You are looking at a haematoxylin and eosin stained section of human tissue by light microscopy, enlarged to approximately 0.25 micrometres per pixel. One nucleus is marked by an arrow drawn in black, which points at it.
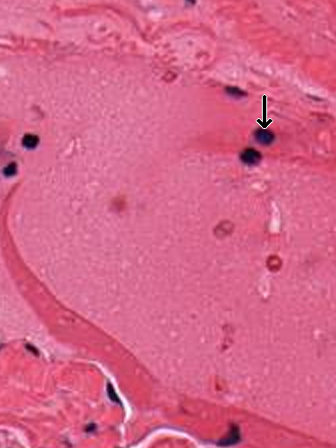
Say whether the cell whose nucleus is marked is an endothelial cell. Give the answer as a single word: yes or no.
no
